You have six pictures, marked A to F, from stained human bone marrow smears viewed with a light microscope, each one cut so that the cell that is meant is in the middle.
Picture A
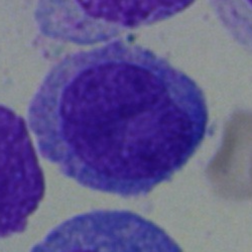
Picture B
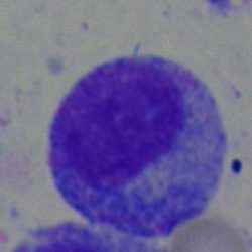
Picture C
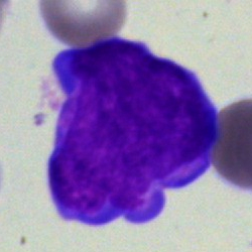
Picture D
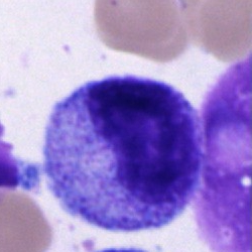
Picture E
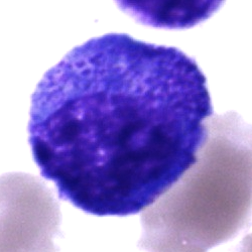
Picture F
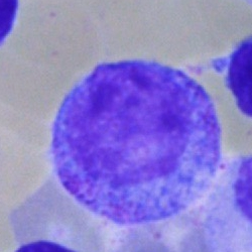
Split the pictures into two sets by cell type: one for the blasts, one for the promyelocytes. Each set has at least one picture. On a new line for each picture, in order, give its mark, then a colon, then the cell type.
A: blast
B: promyelocyte
C: blast
D: promyelocyte
E: promyelocyte
F: promyelocyte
